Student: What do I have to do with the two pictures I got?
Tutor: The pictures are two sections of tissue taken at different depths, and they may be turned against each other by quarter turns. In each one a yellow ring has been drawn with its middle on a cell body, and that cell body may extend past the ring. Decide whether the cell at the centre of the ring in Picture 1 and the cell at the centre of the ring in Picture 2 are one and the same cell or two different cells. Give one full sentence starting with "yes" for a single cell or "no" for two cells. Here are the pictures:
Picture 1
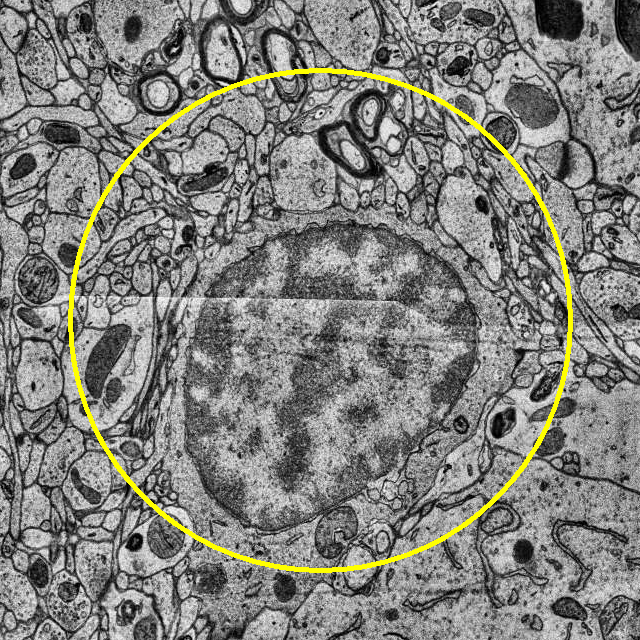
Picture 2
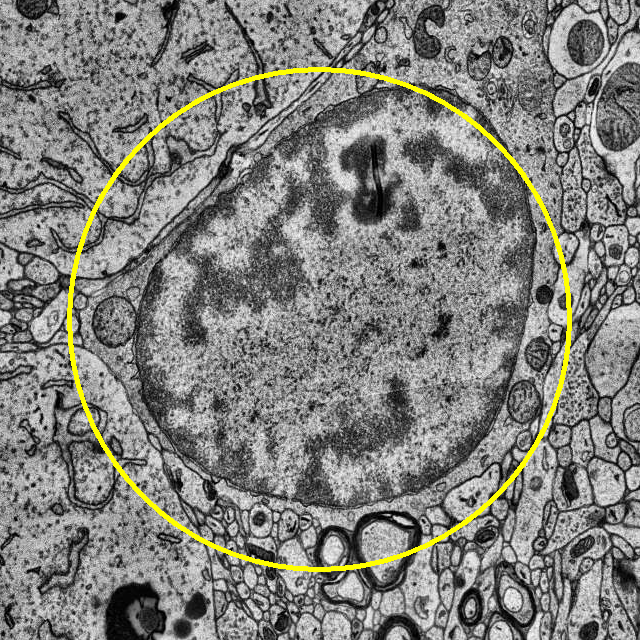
Yes, the first and second rings frame the same single cell.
